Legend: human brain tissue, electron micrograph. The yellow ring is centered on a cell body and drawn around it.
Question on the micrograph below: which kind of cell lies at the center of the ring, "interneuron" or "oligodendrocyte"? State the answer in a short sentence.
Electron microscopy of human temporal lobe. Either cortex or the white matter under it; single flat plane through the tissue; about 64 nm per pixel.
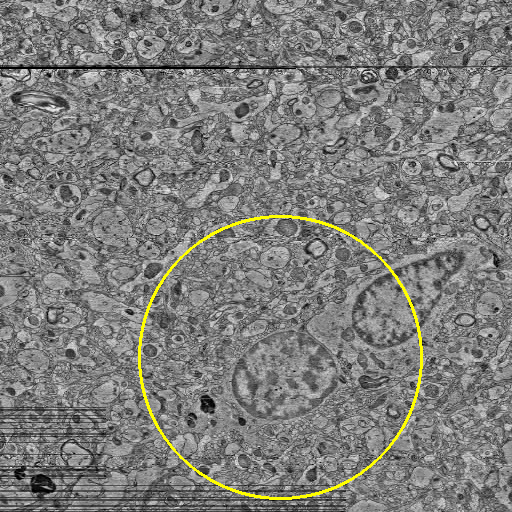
At the center of the ring lies an oligodendrocyte.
